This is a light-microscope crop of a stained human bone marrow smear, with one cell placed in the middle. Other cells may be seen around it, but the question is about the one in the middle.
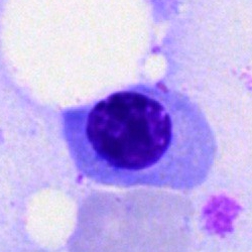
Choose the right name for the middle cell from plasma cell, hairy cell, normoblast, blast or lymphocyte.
normoblast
